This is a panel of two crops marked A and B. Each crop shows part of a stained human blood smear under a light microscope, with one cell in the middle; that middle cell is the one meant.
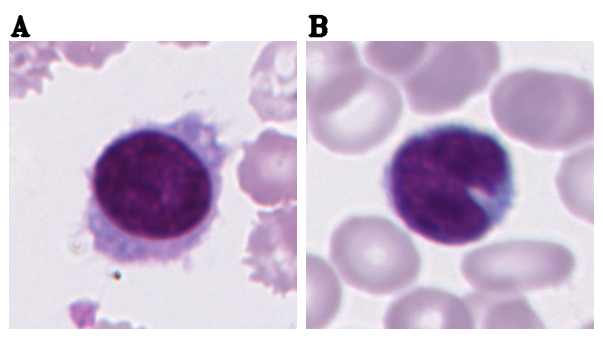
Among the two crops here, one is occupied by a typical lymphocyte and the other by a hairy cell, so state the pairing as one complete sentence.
Crop A has been identified as a hairy cell, and crop B has been identified as a typical lymphocyte.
